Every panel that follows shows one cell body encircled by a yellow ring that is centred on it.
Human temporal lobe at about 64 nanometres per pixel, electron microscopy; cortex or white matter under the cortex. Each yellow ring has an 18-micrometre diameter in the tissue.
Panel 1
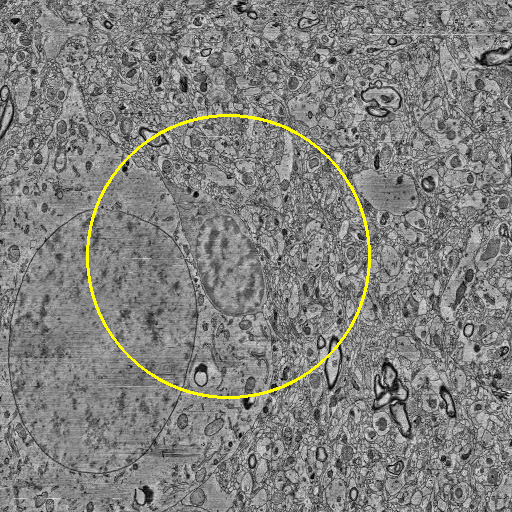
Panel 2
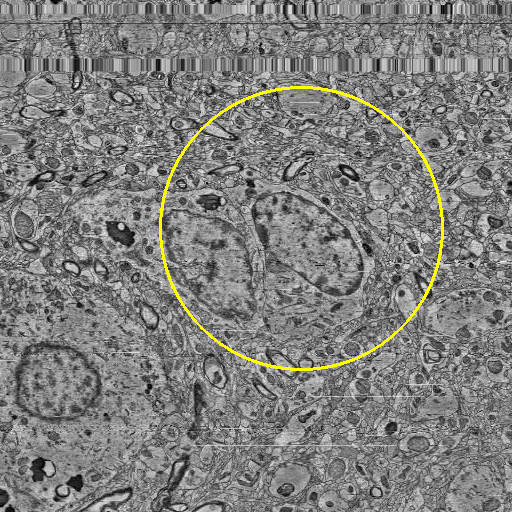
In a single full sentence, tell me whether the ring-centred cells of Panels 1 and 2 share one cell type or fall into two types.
In Panel 1 and Panel 2, the cells at the ring centres fall into two types.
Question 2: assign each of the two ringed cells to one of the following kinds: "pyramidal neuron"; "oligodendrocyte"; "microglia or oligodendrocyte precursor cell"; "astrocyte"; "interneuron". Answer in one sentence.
The two cells are an oligodendrocyte in the first picture and a microglial cell or oligodendrocyte precursor cell in the second.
